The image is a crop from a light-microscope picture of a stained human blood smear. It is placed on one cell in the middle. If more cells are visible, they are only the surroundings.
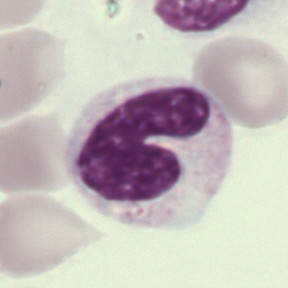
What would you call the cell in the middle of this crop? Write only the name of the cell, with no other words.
band neutrophil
